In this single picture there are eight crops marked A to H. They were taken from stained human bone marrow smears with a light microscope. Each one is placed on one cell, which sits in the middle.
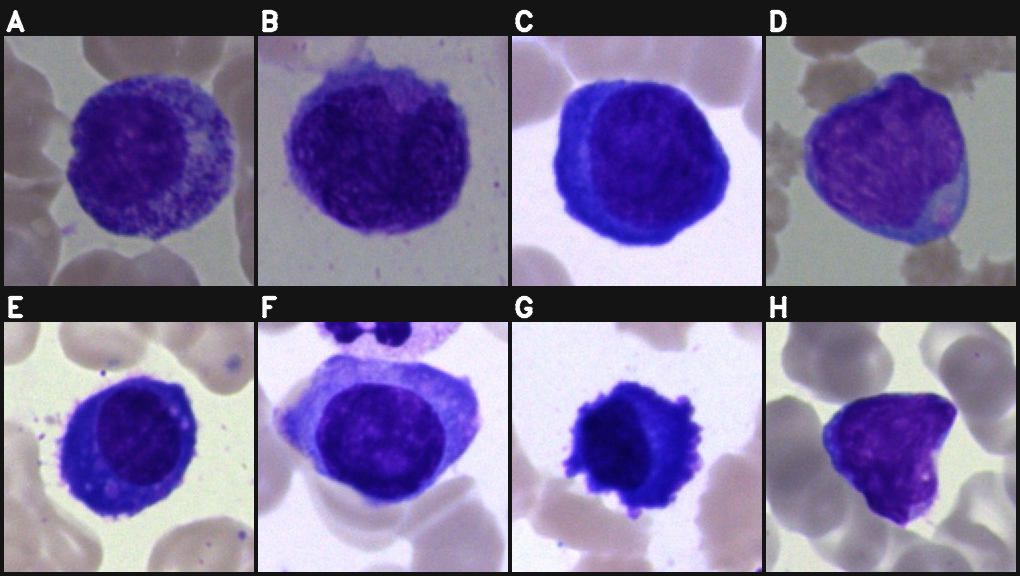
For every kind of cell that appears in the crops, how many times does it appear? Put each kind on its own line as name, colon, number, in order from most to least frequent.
plasma cell: 4
blast: 3
promyelocyte: 1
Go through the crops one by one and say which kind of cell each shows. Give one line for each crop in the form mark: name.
A: promyelocyte
B: blast
C: plasma cell
D: blast
E: plasma cell
F: plasma cell
G: plasma cell
H: blast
